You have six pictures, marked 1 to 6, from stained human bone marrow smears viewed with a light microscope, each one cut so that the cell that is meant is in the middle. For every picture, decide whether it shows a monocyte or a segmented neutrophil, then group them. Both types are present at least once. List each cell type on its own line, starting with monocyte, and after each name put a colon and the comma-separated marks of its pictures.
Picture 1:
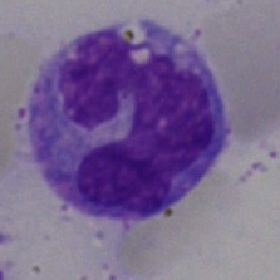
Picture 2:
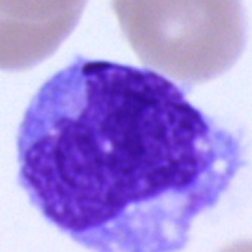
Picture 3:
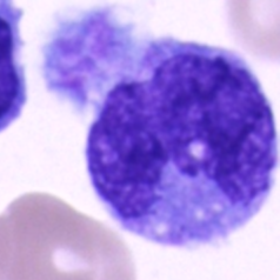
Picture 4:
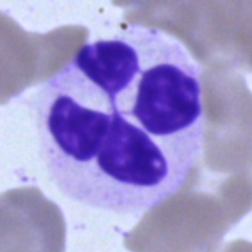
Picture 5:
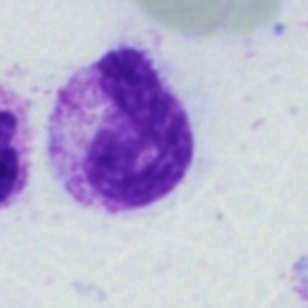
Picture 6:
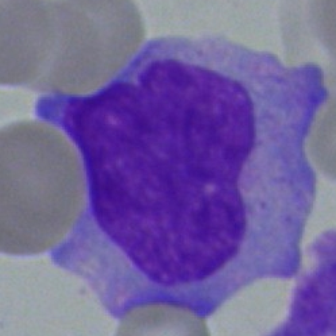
monocyte: 1, 2, 3, 6
segmented neutrophil: 4, 5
